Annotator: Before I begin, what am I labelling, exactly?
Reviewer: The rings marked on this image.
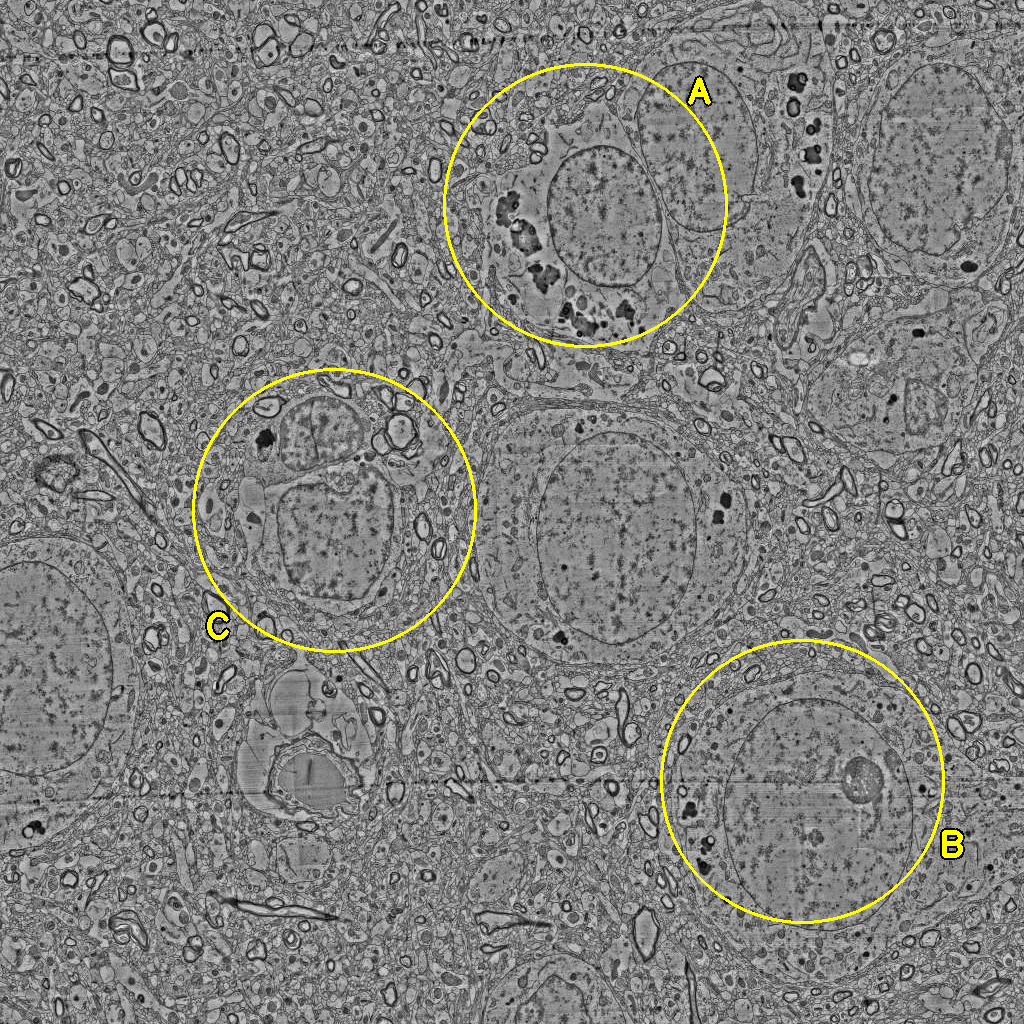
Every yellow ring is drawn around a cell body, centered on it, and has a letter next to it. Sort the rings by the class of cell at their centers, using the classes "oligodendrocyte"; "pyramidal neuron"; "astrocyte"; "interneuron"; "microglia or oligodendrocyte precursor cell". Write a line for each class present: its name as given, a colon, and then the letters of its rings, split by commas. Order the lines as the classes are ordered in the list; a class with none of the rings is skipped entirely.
pyramidal neuron: B
astrocyte: A
interneuron: C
